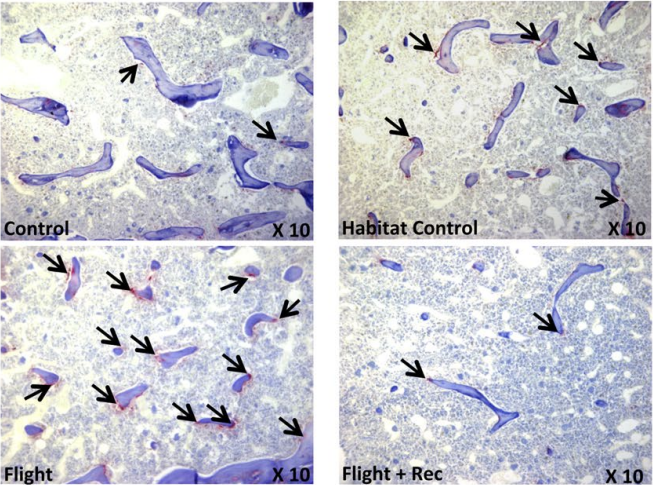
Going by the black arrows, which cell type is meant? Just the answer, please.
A: Osteoclastic cells.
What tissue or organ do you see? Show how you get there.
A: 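Trabecular compartment. Thin, branching, separate bone pieces stained blue. The bone pieces are scattered among densely packed marrow cells.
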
